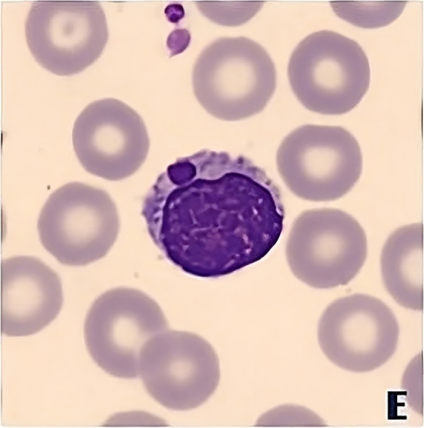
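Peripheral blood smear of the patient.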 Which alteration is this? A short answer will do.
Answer: Giant inclusions.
